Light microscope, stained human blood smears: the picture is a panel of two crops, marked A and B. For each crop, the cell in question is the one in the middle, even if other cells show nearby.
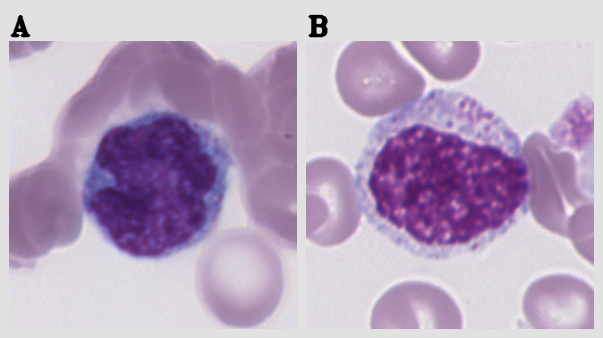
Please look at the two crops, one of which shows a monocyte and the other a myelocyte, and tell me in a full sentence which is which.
Crop A holds a monocyte; crop B holds a myelocyte.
